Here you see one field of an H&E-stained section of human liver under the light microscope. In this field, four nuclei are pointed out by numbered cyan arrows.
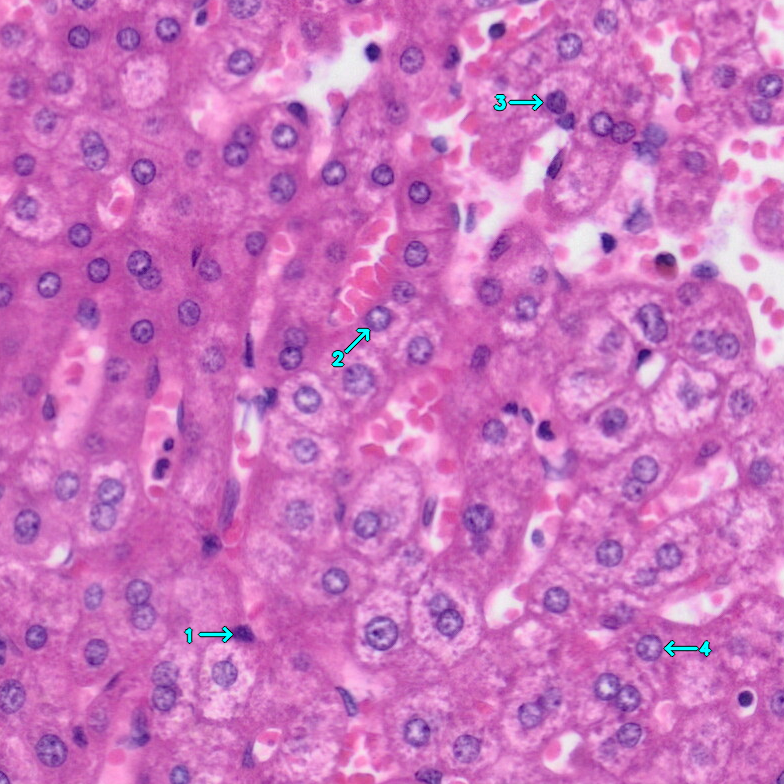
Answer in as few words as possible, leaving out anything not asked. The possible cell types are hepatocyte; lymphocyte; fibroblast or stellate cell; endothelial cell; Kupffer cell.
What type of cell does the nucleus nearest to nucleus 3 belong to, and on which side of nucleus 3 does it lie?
a fibroblast or stellate cell; below and to the right of nucleus 3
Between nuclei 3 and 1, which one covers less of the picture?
1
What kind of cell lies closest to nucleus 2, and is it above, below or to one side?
a hepatocyte, above and to the right of nucleus 2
